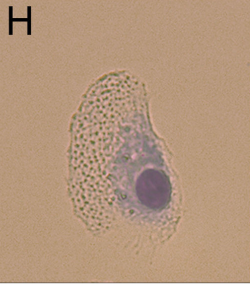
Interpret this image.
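The cytoplasm spreads out into a broad veil-like sheet that takes up most of the cell. This sheet is filled with fine granules and tiny clear vesicles, giving it a stippled look. Its outer border is irregular rather than smooth.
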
